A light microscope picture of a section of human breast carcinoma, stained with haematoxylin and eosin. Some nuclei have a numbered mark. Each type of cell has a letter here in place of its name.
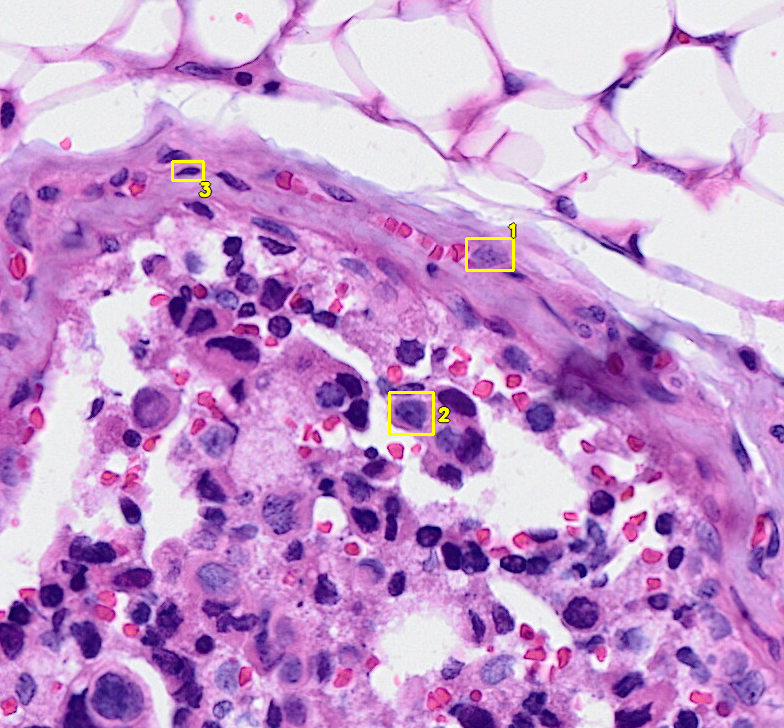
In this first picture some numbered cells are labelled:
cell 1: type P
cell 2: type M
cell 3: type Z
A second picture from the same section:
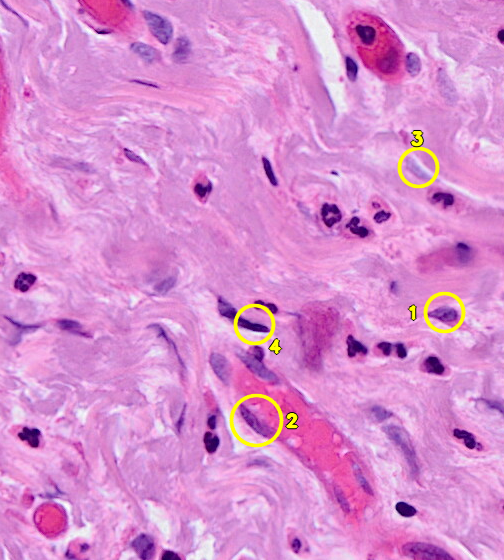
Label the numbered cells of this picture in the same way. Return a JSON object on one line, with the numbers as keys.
{"1": "type Z", "2": "type P", "3": "type Z", "4": "type Z"}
